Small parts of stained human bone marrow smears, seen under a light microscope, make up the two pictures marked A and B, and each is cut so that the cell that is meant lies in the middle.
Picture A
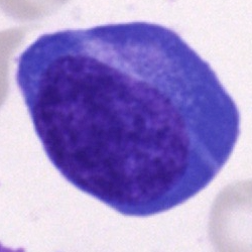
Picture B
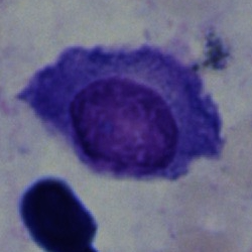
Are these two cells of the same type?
yes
